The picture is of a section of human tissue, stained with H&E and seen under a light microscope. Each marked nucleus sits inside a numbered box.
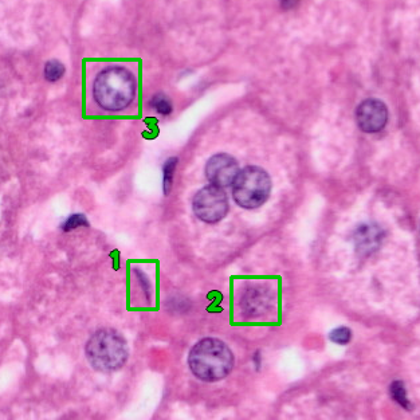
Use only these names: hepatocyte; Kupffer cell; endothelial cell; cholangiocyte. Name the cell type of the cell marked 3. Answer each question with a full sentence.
The nucleus with number 3 is that of a hepatocyte.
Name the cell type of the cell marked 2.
The cell with the number 2 is a hepatocyte.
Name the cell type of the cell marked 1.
Regarding cell 1, this one is an endothelial cell.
